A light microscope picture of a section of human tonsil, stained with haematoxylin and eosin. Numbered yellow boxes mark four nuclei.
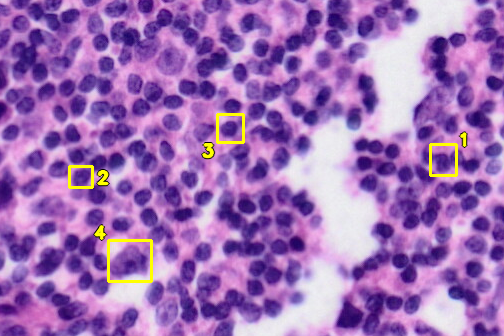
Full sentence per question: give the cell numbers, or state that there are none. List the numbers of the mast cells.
The numbered cells are all of types other than mast cells.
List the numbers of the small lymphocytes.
Each of the cells numbered 1, 2 and 3 is among the small lymphocytes.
